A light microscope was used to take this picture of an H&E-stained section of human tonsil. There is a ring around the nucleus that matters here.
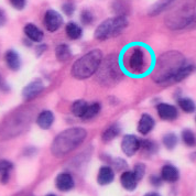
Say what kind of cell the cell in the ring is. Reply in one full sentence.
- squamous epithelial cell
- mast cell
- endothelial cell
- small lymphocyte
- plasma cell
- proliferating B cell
Recorded by type, the cell in the ring is an endothelial cell.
